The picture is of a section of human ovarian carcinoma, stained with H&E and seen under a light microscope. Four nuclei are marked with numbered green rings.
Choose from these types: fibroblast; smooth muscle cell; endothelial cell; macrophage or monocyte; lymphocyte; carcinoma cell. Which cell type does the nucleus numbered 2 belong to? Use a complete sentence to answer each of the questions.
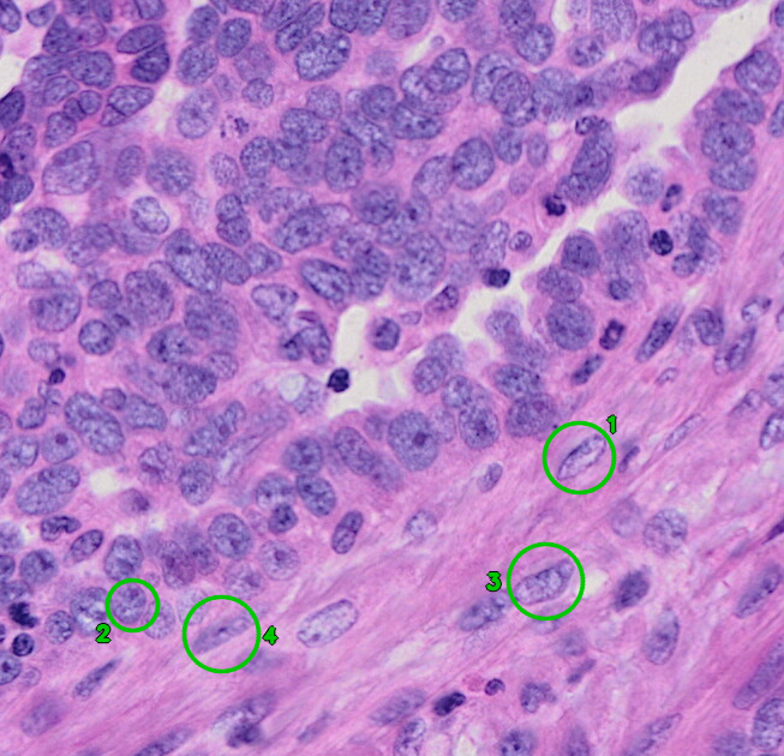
The numbered cell 2 is identified here as a carcinoma cell.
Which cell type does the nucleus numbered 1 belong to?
The cell carrying label 1 is identified as a fibroblast.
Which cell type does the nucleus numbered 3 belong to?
Cell 3 of the marked set is a fibroblast.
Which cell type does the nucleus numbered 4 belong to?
The cell given label 4 is a fibroblast.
